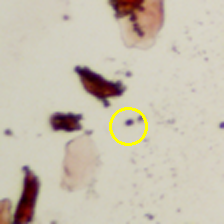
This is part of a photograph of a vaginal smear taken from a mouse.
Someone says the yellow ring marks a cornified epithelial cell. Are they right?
They are not: the ring marks a leukocyte.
